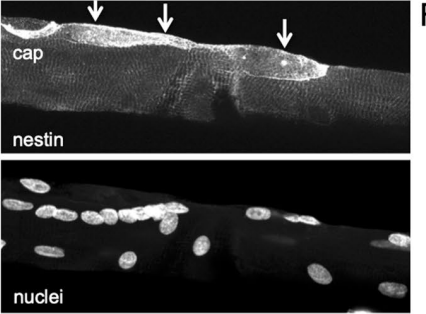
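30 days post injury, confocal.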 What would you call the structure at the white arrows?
Myofibre segment.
